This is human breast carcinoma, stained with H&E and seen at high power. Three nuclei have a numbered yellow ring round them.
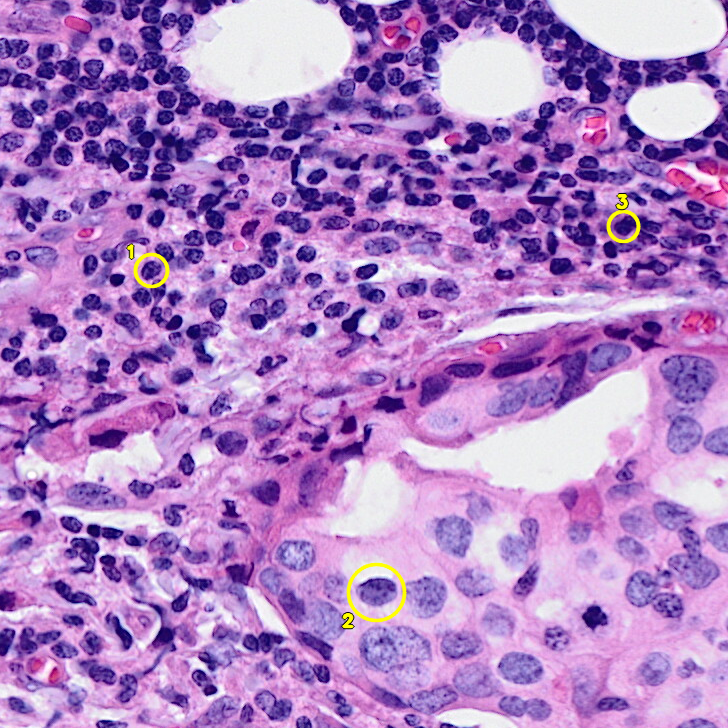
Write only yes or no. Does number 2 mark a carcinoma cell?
yes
